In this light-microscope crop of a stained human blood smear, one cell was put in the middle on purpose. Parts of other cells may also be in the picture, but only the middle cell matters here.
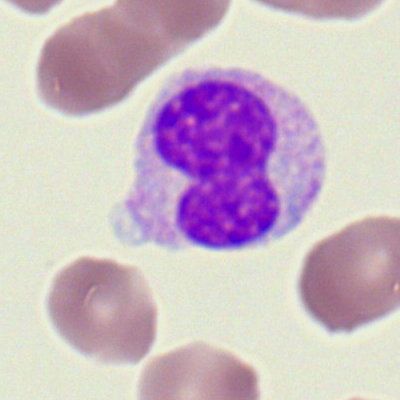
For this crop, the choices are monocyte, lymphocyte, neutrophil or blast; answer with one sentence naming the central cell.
The cell found in the middle of this crop is a monocyte.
